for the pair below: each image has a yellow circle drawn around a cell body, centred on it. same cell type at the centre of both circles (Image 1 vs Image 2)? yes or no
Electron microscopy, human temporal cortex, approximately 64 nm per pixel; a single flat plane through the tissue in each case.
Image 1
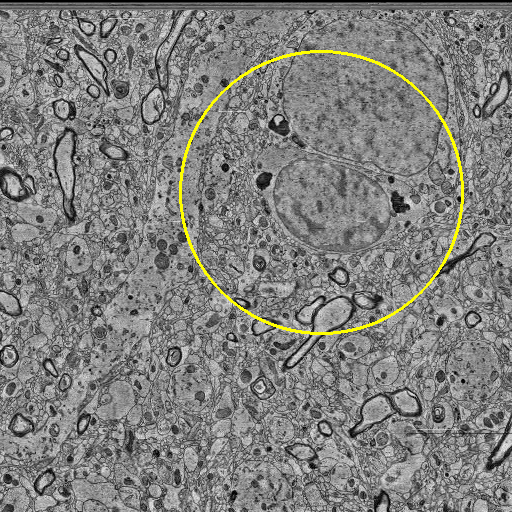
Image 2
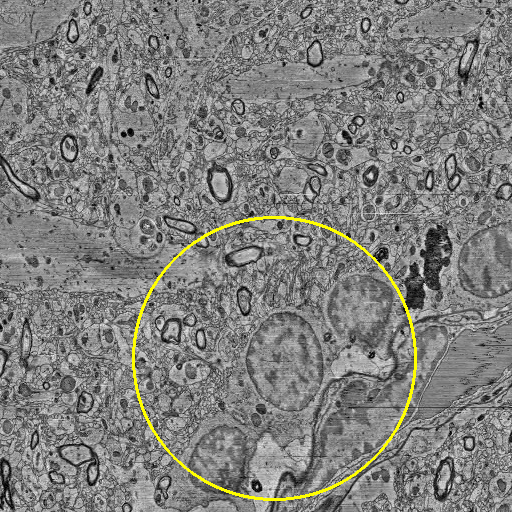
yes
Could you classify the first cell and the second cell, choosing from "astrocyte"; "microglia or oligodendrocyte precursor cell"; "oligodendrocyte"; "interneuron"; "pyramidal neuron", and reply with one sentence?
Each of the two pictures has an oligodendrocyte at the ring centre.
